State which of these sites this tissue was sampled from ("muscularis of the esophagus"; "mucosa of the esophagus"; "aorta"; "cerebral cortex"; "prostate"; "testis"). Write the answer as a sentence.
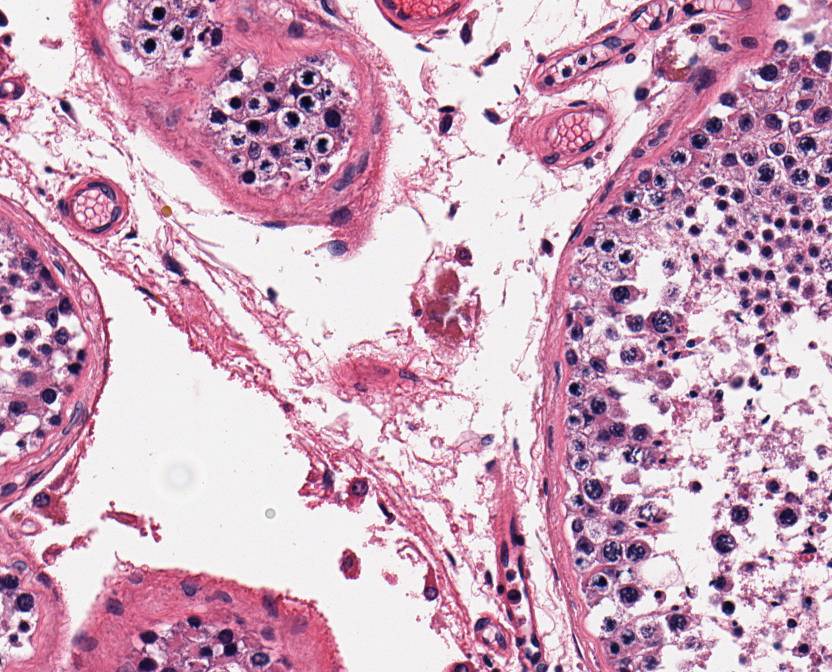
The site this tissue was sampled from is the testis.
